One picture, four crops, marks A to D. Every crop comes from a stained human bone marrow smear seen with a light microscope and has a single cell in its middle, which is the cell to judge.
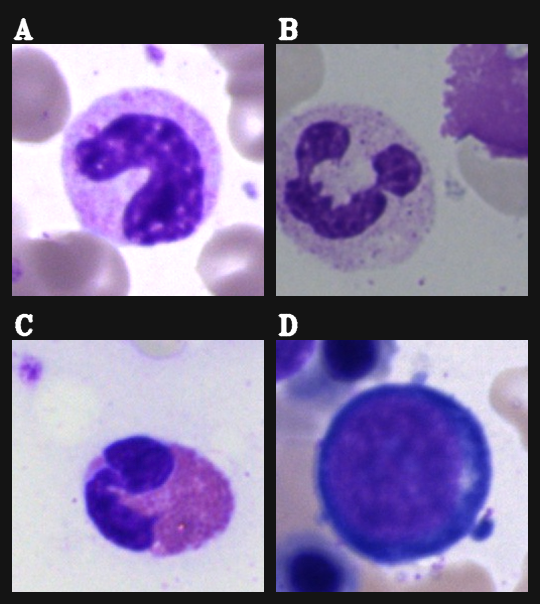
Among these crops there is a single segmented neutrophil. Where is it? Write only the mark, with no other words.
B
